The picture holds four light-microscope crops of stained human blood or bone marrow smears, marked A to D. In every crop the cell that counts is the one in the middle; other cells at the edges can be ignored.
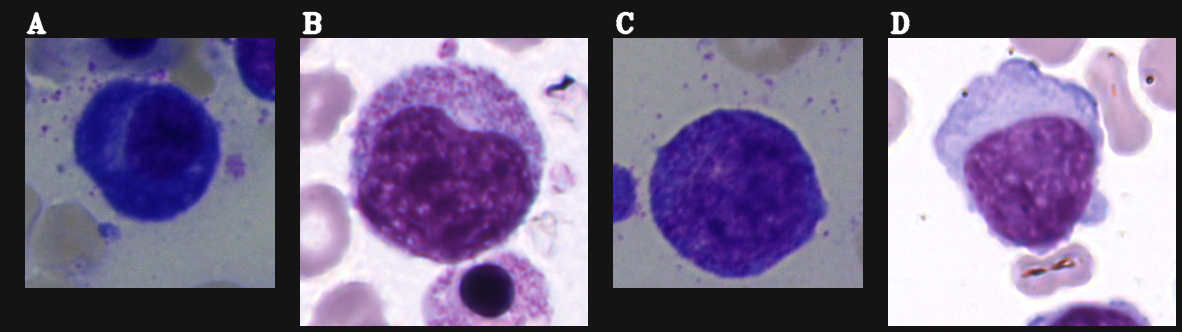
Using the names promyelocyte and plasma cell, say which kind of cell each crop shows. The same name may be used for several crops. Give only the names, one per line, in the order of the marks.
plasma cell
promyelocyte
promyelocyte
plasma cell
